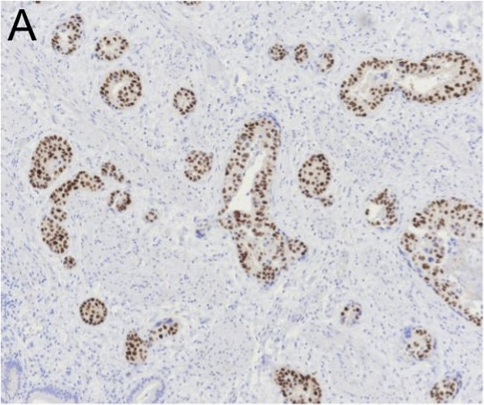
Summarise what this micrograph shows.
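Tumor cells form many irregular glands, tubules, cords and solid nests scattered through a pale, fibrous stroma. The epithelial cells lining the glands and filling the nests have round to oval nuclei that are nearly all stained dark brown, while their cytoplasm is pale. Some glands have open lumens, others are solid clusters. The stroma between them contains scattered spindle-shaped cells with small blue nuclei and no brown stain. The glands vary in size and shape and lie without an orderly arrangement, infiltrating the stroma.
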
